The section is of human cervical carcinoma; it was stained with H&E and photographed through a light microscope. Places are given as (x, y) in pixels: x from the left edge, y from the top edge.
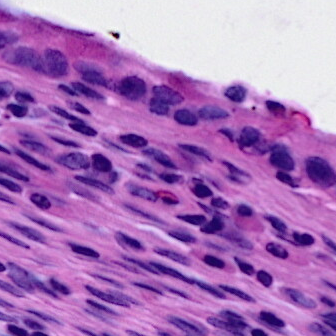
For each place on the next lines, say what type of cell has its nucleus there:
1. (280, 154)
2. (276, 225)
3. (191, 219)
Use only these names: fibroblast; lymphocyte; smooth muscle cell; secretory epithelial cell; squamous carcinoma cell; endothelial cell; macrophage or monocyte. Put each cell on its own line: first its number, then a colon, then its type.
1: secretory epithelial cell
2: fibroblast
3: lymphocyte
